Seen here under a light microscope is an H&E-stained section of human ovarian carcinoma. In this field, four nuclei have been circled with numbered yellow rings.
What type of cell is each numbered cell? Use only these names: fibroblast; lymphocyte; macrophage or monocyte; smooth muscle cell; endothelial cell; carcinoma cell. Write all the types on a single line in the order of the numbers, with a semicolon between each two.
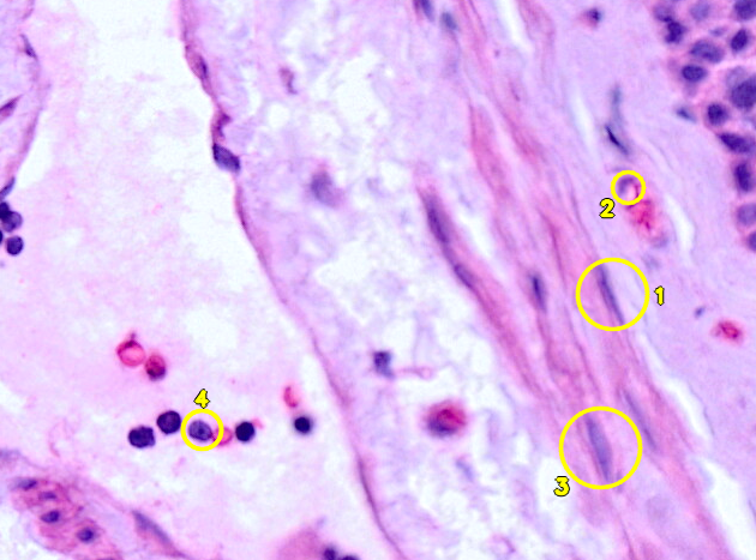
smooth muscle cell; endothelial cell; smooth muscle cell; lymphocyte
